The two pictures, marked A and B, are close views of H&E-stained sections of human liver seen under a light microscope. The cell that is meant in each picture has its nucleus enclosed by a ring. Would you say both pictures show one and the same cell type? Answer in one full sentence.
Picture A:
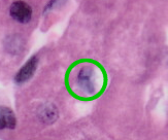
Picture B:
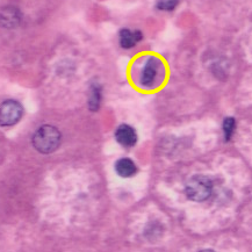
Yes; the cells in both pictures are endothelial cells.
